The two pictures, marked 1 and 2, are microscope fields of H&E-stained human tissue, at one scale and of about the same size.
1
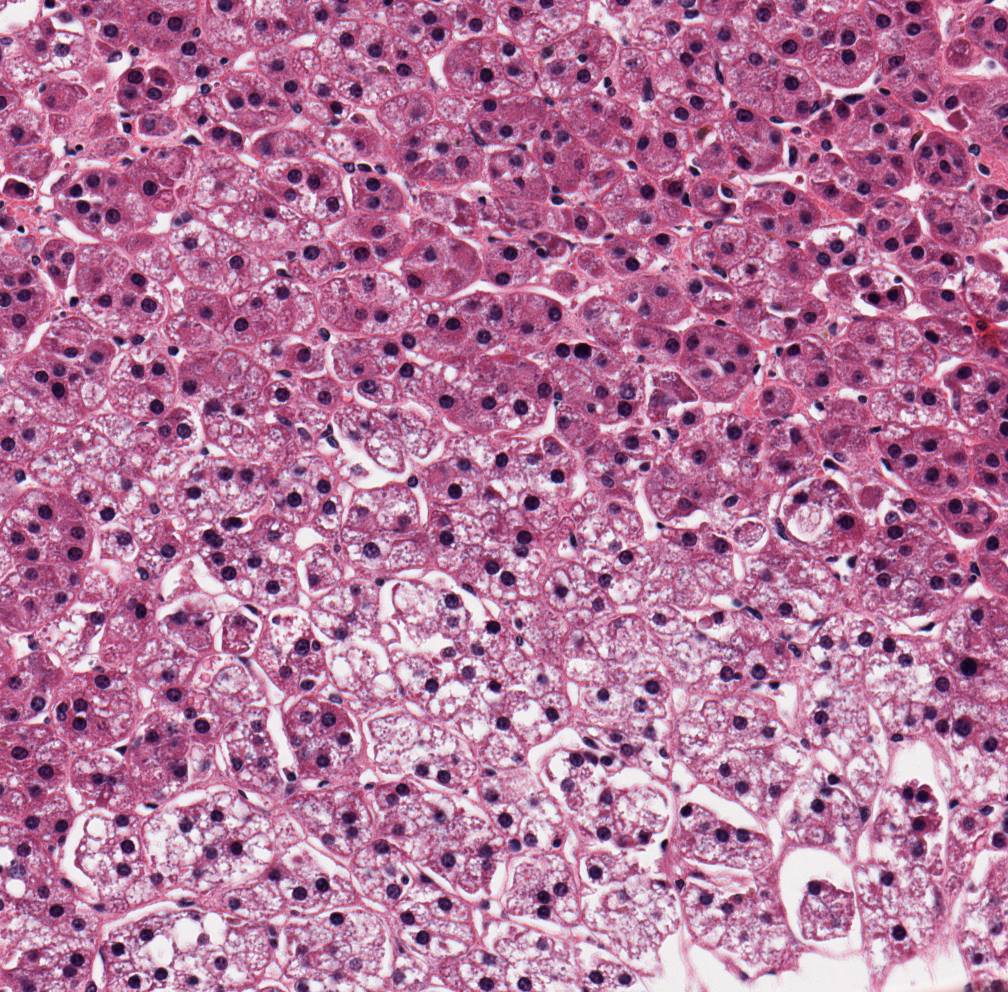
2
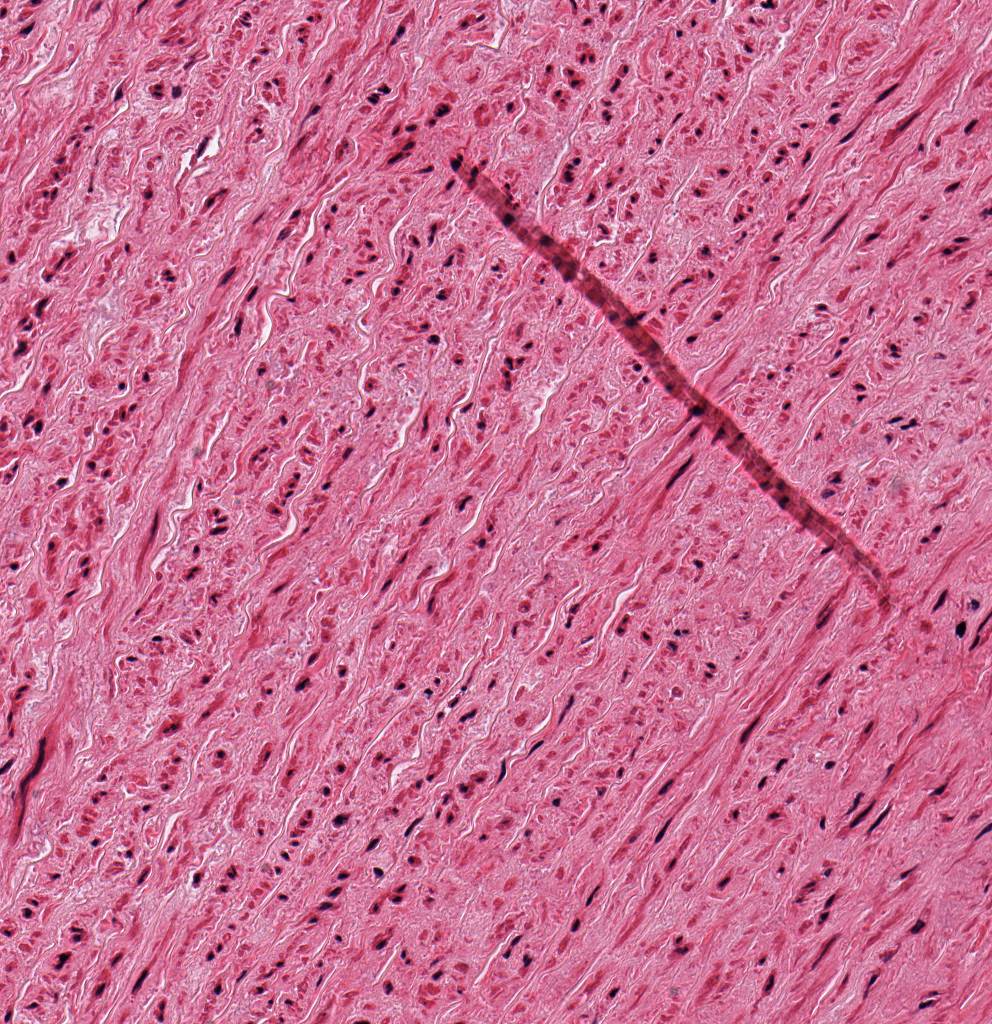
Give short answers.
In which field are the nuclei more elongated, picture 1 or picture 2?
2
